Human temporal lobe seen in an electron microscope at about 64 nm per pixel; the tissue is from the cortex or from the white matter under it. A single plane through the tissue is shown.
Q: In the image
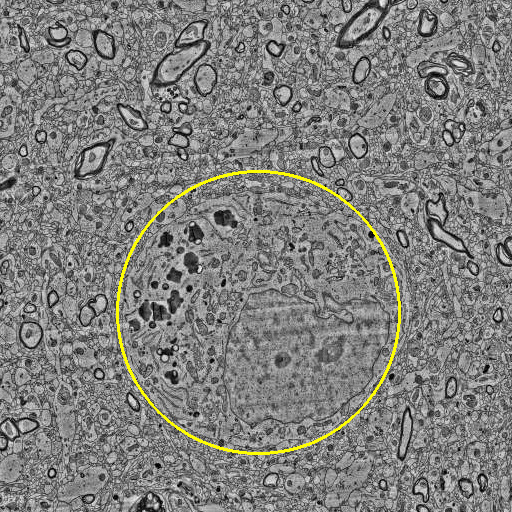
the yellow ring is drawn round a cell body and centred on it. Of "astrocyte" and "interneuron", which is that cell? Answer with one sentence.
The cell centred in the ring is an interneuron.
